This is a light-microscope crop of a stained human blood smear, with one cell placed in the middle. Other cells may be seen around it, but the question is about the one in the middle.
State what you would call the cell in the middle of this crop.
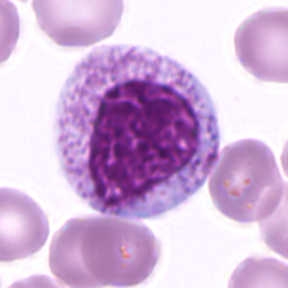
metamyelocyte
